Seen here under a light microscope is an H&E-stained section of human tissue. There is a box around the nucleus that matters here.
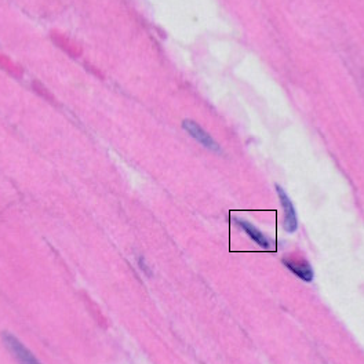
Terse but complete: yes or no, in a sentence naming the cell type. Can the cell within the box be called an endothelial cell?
Yes, it is the case that the cell within the box is an endothelial cell.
